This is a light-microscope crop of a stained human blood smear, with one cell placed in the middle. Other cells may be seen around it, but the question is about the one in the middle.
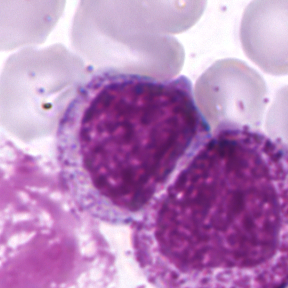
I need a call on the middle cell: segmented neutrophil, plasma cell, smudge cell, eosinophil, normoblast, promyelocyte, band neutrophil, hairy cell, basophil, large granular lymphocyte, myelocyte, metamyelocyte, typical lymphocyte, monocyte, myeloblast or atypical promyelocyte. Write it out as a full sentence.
Regarding the central cell, it is a myelocyte.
